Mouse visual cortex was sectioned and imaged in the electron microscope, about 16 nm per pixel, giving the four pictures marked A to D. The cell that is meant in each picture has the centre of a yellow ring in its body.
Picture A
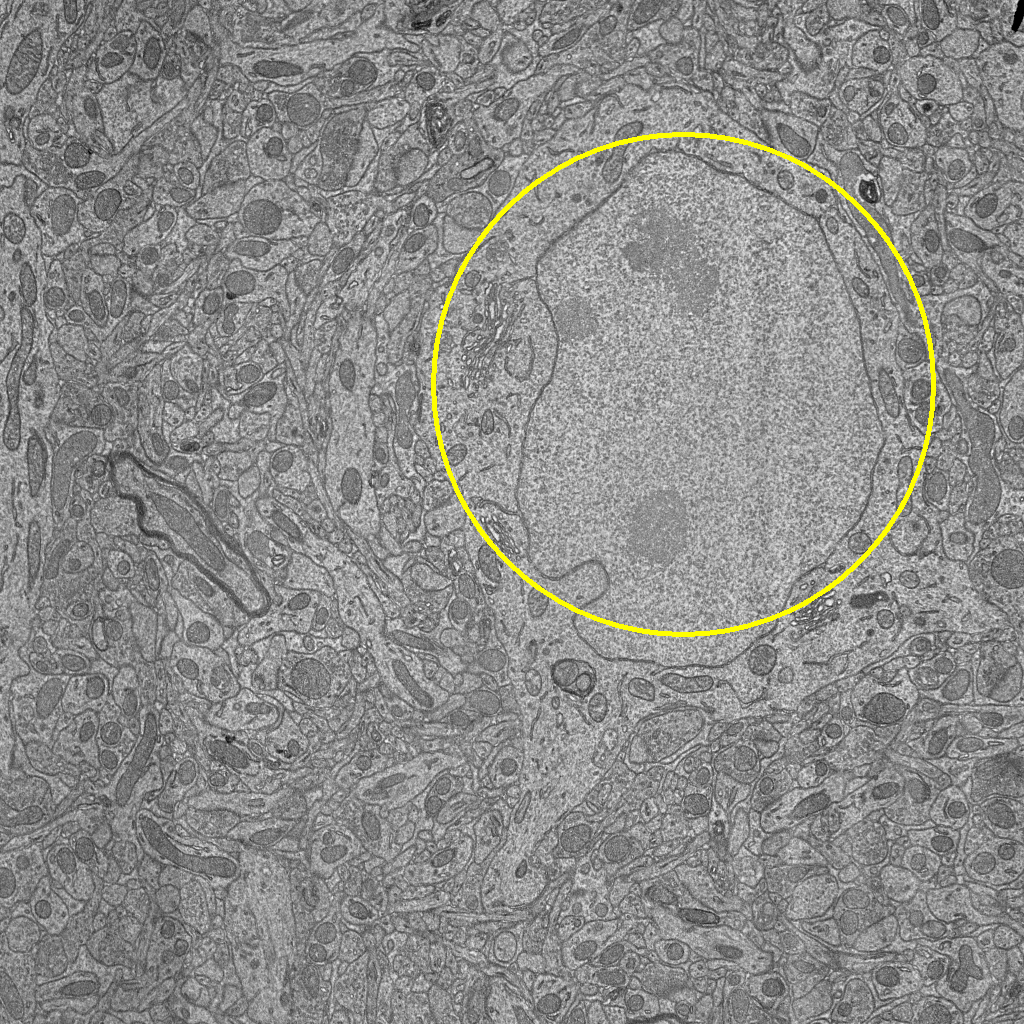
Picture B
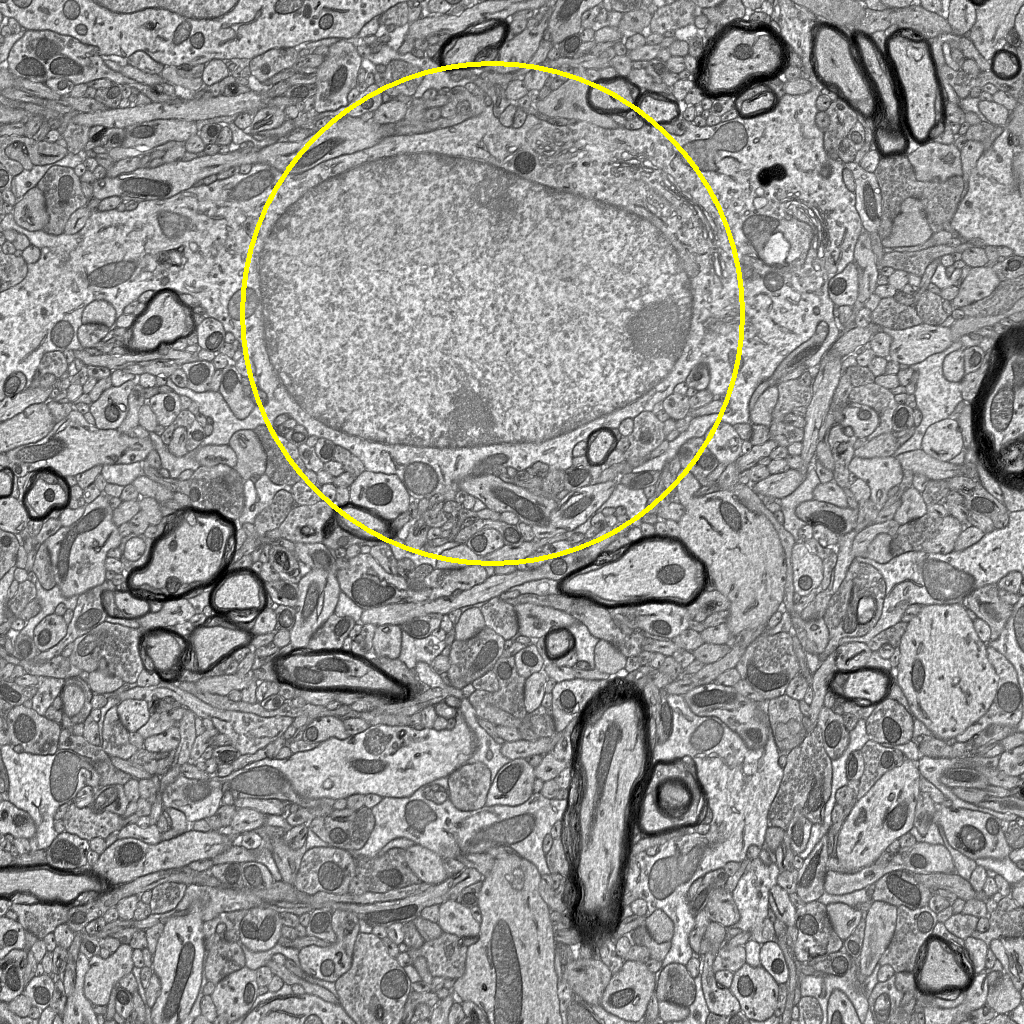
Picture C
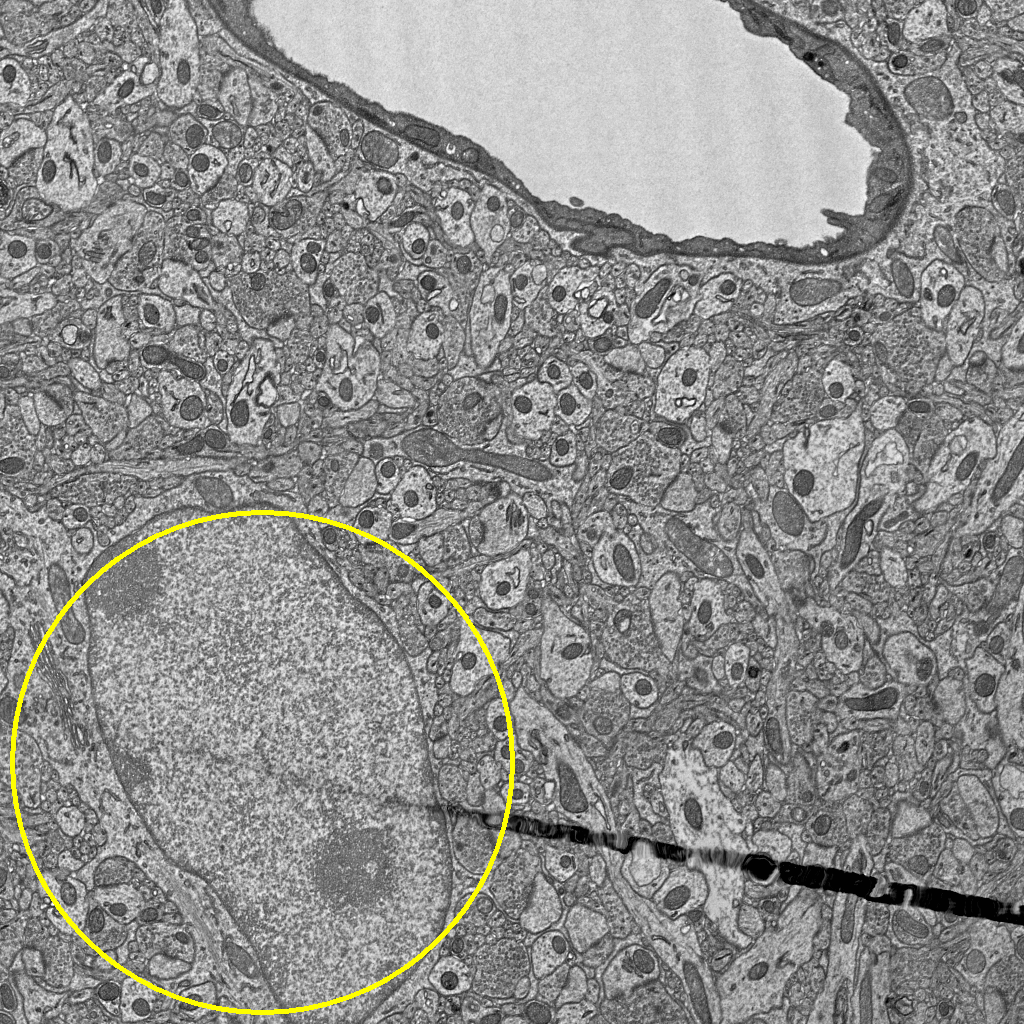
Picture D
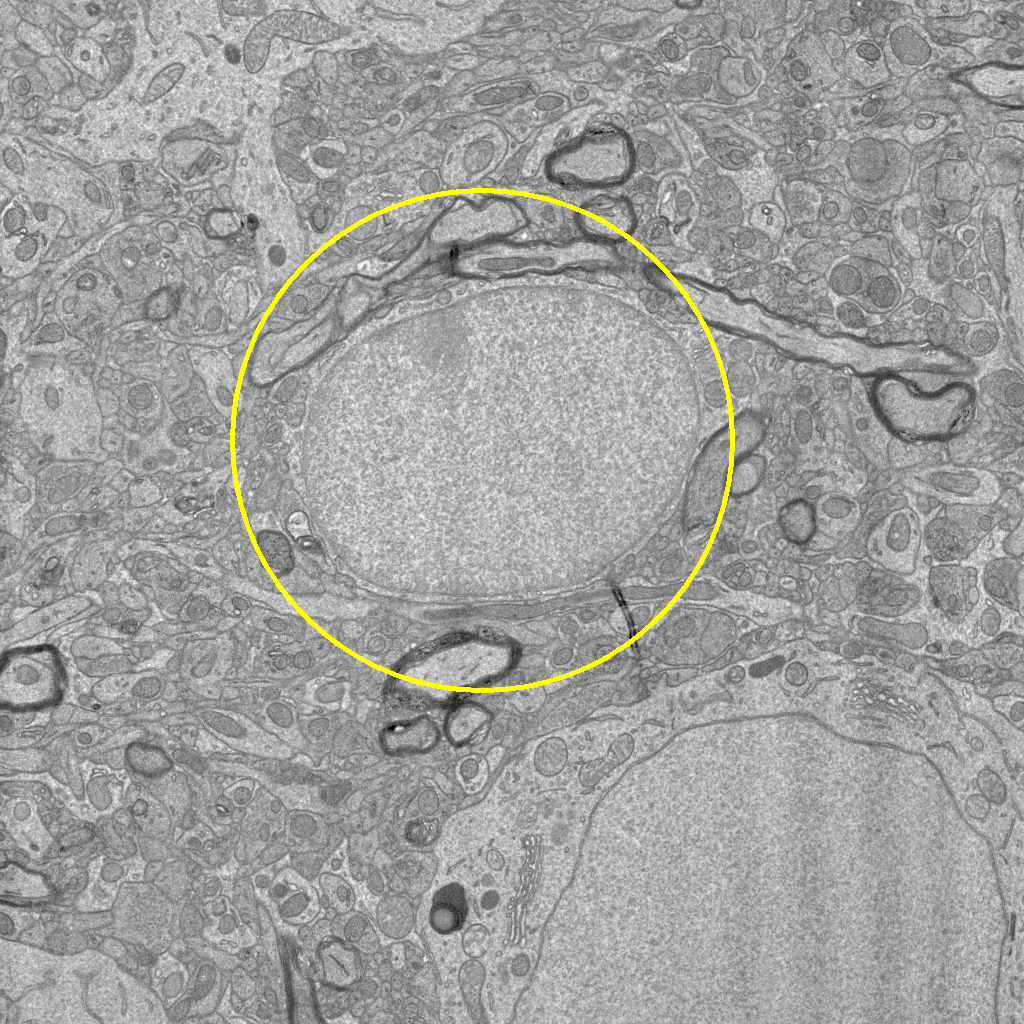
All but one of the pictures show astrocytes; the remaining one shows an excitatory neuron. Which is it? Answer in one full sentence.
The picture with the excitatory neuron is A.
